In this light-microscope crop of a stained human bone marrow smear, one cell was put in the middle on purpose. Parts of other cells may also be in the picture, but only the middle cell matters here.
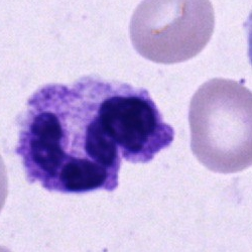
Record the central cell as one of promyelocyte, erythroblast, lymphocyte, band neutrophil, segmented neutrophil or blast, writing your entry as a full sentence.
In the middle of this smear crop, the cell is a segmented neutrophil.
